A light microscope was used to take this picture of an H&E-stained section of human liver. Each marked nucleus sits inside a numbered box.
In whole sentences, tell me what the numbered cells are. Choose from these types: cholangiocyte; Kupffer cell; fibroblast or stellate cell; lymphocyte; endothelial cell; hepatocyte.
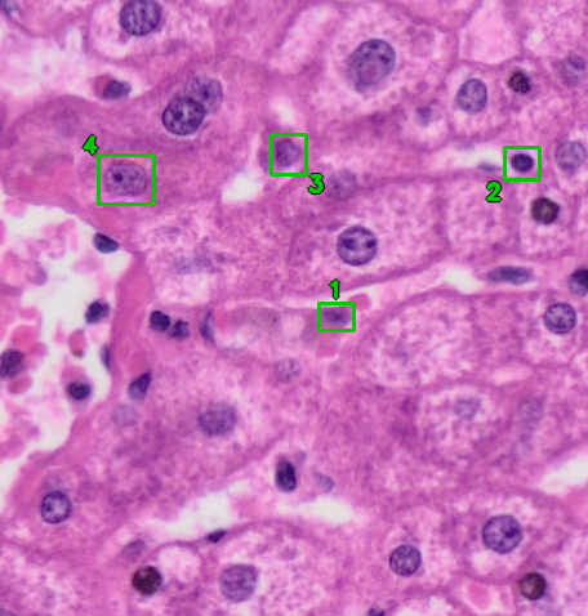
Cell 1 is a Kupffer cell, cell 2 is a lymphocyte, cell 3 is a Kupffer cell and cell 4 is a hepatocyte.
